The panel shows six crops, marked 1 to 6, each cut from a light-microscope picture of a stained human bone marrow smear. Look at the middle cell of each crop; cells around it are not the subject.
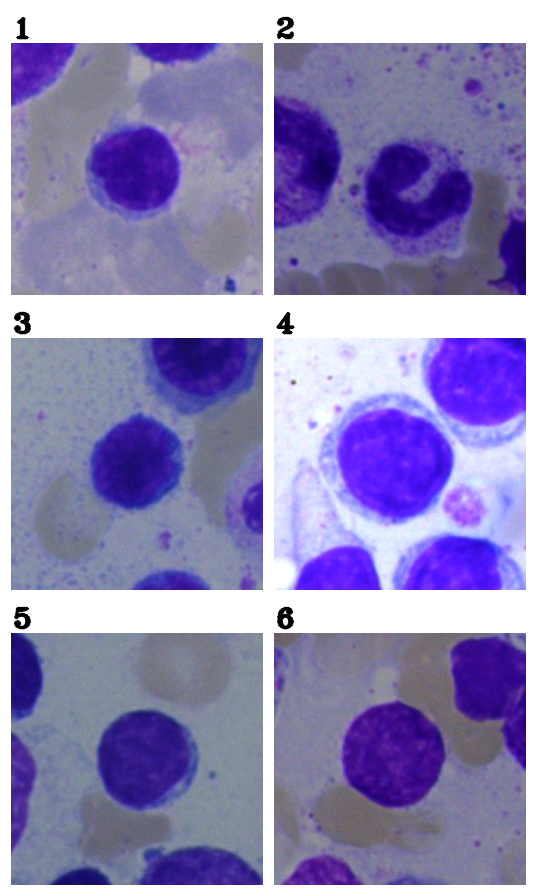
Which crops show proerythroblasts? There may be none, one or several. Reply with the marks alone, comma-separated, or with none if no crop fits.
none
